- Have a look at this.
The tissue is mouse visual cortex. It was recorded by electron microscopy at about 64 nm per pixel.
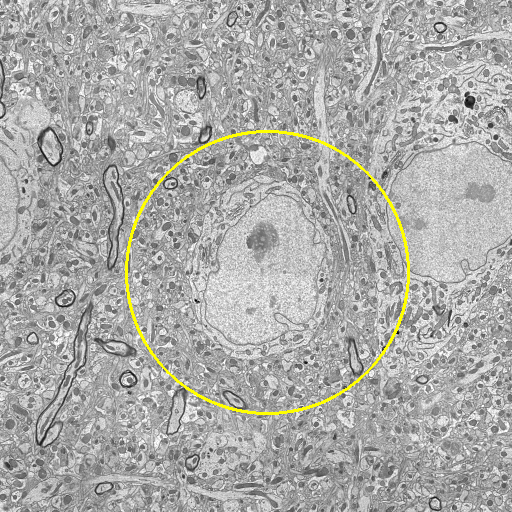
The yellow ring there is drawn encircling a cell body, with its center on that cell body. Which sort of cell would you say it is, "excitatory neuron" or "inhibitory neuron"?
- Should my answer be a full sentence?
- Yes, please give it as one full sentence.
For this picture, an inhibitory neuron is the cell where the yellow ring has its center.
